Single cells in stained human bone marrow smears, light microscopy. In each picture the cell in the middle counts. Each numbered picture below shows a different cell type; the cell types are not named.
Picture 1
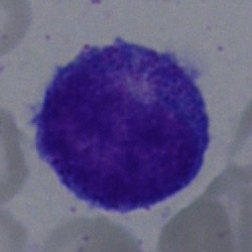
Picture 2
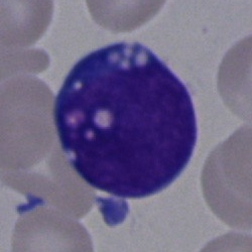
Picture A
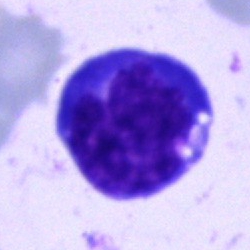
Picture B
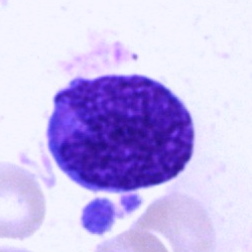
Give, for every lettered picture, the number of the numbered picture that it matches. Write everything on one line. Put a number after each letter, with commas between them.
A 2, B 2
